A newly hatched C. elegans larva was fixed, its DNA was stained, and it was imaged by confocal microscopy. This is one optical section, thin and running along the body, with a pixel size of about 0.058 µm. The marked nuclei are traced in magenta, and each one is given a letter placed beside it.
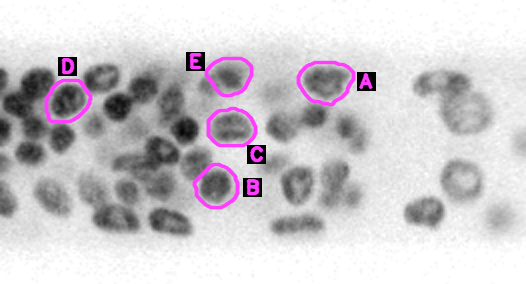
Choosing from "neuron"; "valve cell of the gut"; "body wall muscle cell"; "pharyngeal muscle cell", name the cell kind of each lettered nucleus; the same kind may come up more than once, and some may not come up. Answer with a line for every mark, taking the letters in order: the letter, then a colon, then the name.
A: body wall muscle cell
B: neuron
C: pharyngeal muscle cell
D: neuron
E: neuron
